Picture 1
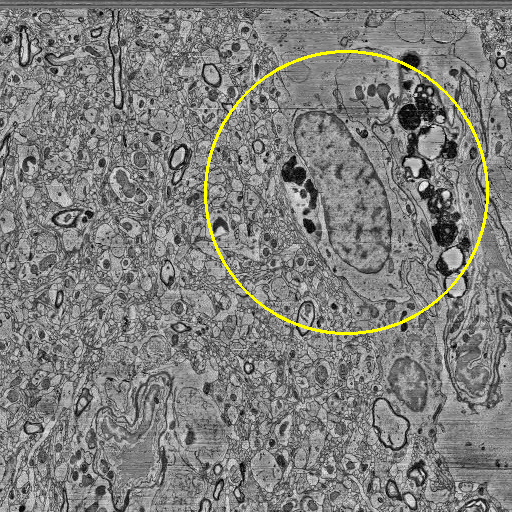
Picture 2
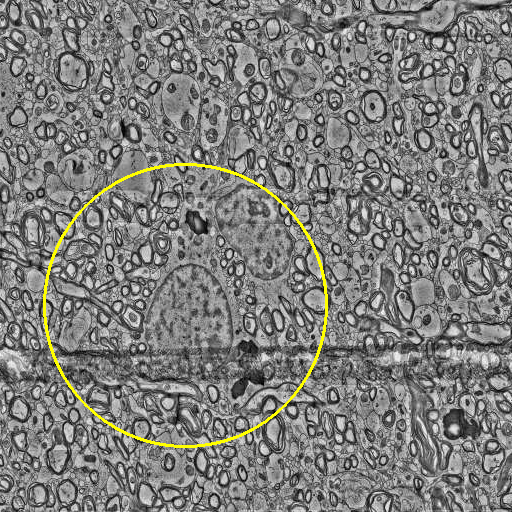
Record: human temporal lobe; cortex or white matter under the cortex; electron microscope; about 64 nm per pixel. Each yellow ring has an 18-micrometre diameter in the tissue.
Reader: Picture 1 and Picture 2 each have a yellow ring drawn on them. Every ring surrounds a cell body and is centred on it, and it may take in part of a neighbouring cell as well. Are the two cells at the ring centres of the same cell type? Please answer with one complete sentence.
No, the cells are of two cell types.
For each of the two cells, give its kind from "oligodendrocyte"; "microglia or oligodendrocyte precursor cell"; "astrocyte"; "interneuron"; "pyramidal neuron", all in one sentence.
The first picture has a microglial cell or oligodendrocyte precursor cell in its ring, the second has an oligodendrocyte.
